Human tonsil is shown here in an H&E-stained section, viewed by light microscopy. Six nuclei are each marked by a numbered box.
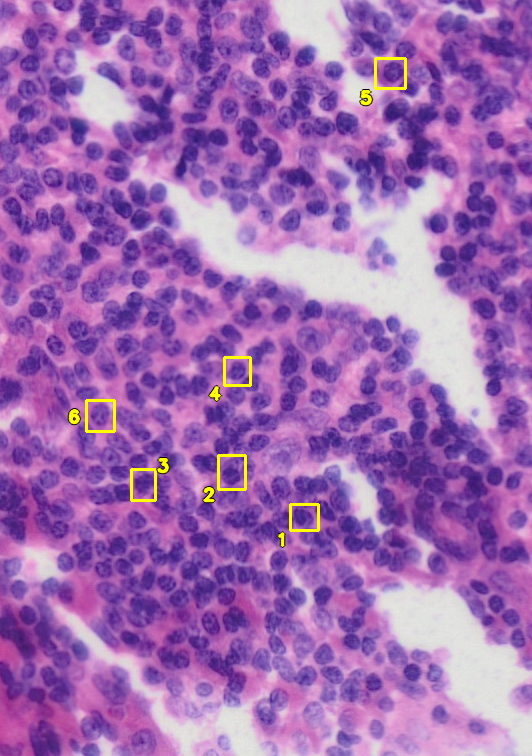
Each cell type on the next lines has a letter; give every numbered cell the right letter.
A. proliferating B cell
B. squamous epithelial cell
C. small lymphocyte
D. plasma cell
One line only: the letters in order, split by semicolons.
C; C; C; C; D; D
